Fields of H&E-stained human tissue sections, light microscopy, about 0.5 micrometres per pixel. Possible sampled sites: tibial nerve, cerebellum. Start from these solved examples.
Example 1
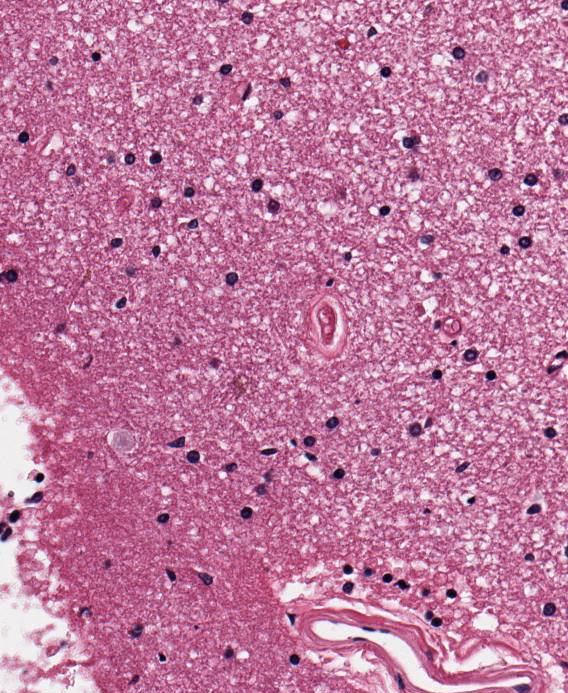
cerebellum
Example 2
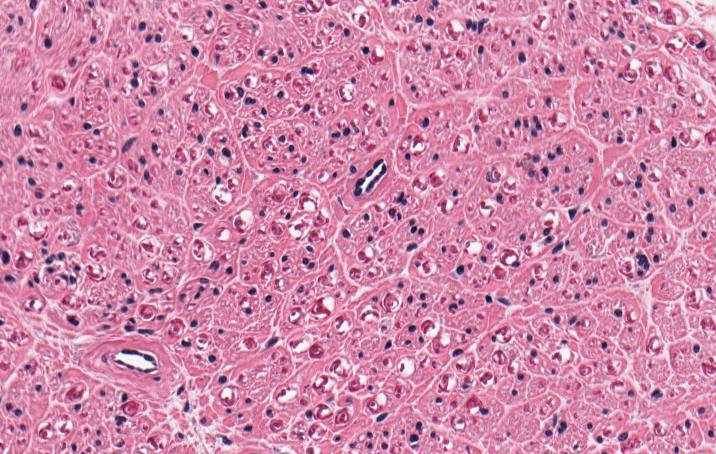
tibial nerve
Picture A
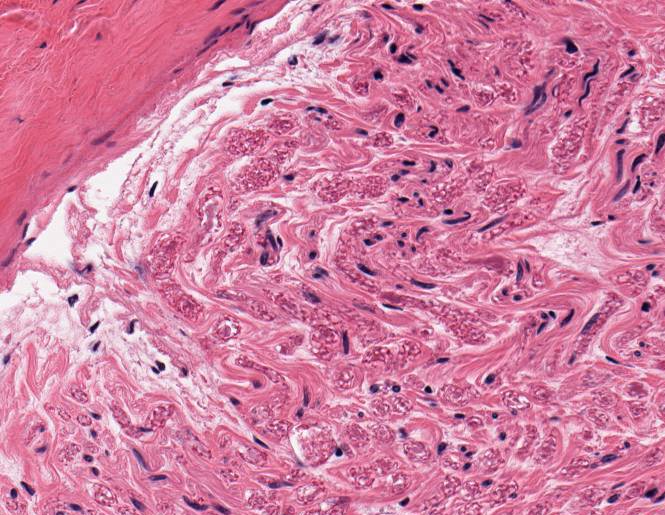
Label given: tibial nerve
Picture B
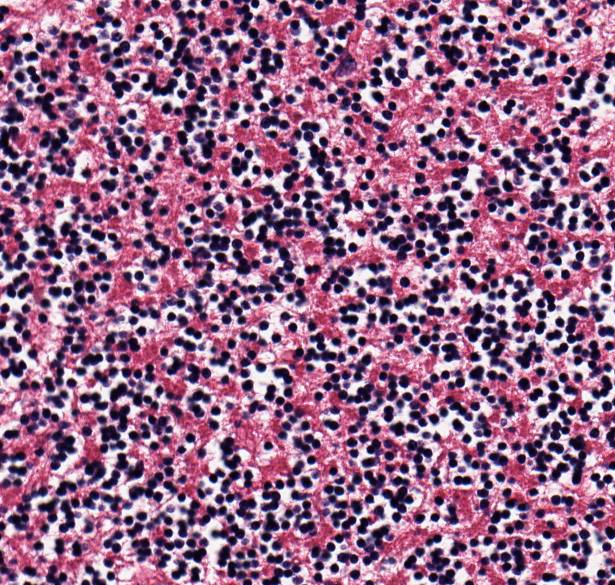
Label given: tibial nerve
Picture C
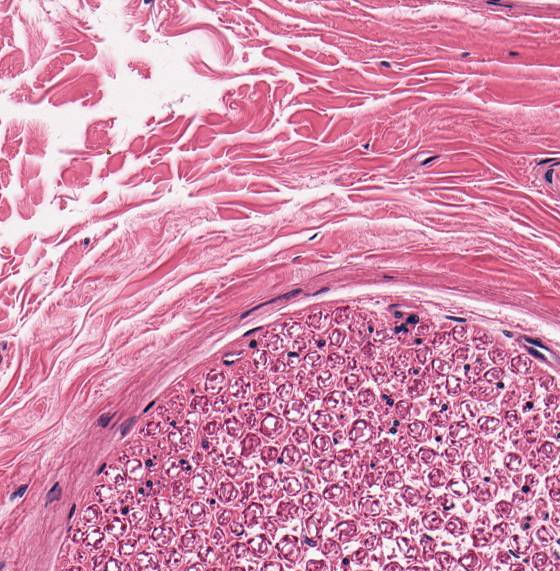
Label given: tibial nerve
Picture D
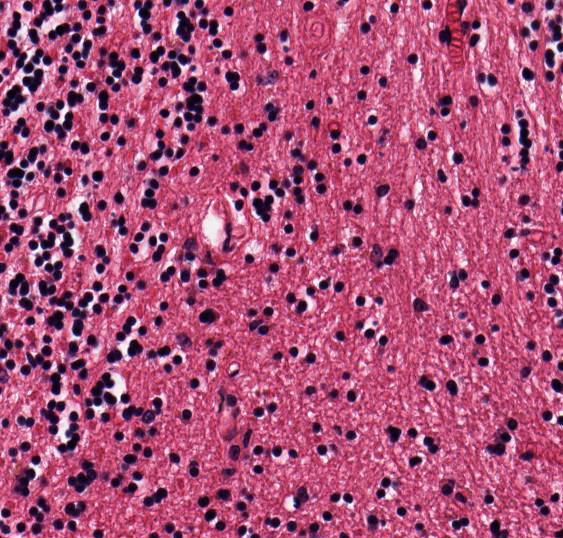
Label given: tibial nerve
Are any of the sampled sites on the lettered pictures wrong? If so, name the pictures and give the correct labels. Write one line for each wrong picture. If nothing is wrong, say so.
B: not tibial nerve but cerebellum
D: not tibial nerve but cerebellum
